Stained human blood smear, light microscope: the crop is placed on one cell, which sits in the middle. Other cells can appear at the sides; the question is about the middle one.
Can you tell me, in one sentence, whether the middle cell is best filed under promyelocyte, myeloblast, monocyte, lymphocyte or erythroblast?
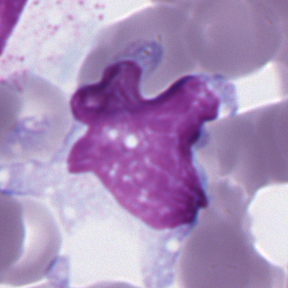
Occupying the centre of the crop is a monocyte.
